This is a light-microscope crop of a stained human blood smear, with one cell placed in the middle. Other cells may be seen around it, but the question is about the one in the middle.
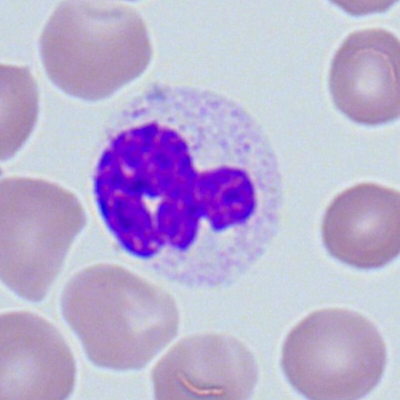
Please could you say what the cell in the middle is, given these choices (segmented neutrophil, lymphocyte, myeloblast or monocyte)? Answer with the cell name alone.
segmented neutrophil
